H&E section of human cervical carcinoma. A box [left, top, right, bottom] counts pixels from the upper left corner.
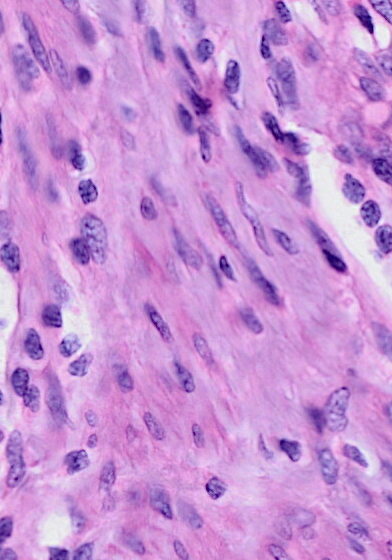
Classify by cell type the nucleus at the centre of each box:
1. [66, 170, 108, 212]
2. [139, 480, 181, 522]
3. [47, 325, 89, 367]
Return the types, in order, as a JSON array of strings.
["lymphocyte", "smooth muscle cell", "lymphocyte"]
